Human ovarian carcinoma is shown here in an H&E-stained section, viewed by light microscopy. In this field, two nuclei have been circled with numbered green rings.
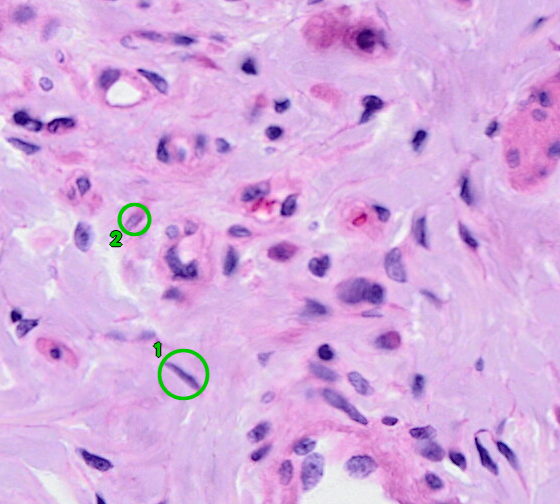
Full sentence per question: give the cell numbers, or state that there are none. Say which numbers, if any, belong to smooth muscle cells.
In contrast to the remaining marked cells, cell 2 is a smooth muscle cell.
